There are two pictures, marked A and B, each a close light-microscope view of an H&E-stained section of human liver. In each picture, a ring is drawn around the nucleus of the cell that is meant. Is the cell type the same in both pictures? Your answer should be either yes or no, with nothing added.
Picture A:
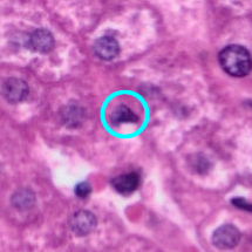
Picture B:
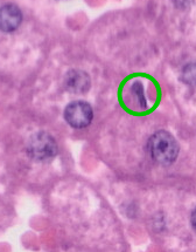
yes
